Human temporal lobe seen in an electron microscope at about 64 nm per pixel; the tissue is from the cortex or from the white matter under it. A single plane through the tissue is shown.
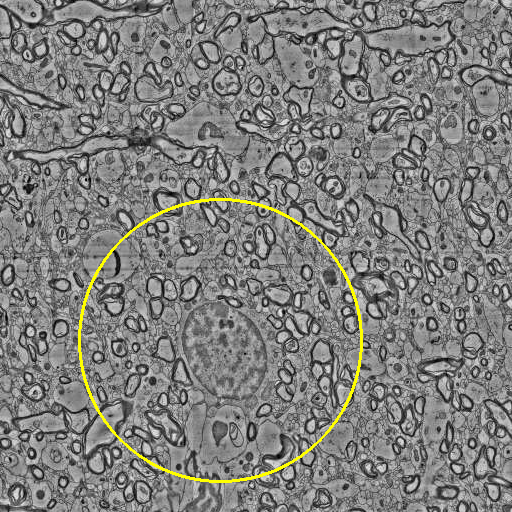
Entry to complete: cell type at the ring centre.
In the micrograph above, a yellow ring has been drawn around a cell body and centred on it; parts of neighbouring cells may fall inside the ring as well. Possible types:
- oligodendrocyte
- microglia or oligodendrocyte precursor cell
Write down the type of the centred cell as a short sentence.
The ring is centred on an oligodendrocyte.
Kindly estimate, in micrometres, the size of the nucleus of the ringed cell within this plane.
The nucleus has a long axis of about 7 micrometres and a short axis of about 5 micrometres in this plane.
